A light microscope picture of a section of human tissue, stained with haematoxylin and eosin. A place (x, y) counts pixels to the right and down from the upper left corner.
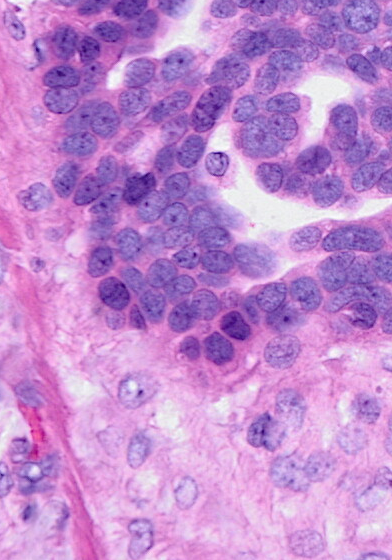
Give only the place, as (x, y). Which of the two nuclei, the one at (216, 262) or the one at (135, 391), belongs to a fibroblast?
(135, 391)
